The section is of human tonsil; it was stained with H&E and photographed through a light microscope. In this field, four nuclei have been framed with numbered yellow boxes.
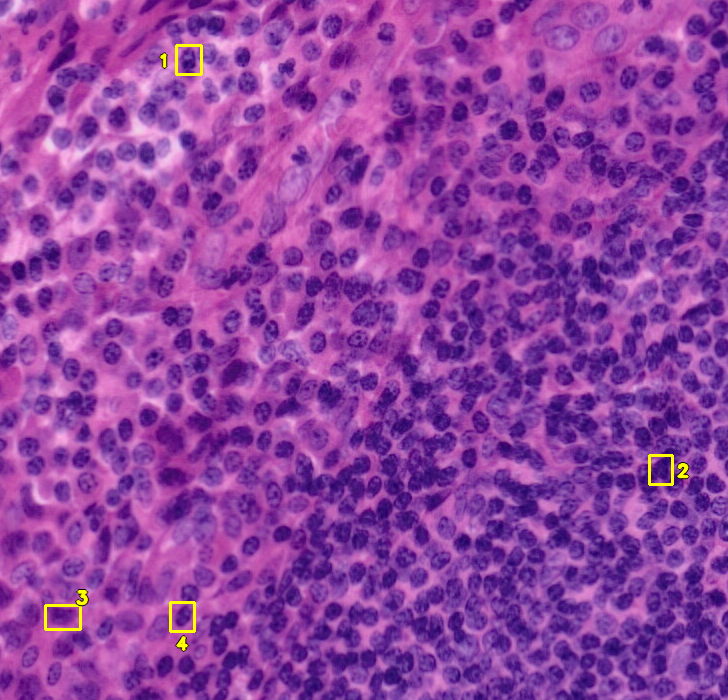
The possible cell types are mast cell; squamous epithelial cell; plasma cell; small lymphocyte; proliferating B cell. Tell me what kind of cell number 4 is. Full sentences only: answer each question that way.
The cell assigned the number 4 is a plasma cell.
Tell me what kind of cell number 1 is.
Cell 1 in the field of view is a plasma cell.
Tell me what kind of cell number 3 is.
What the number 3 marks in this field is a squamous epithelial cell.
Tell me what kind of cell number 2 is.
What the number 2 marks in this field is a small lymphocyte.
